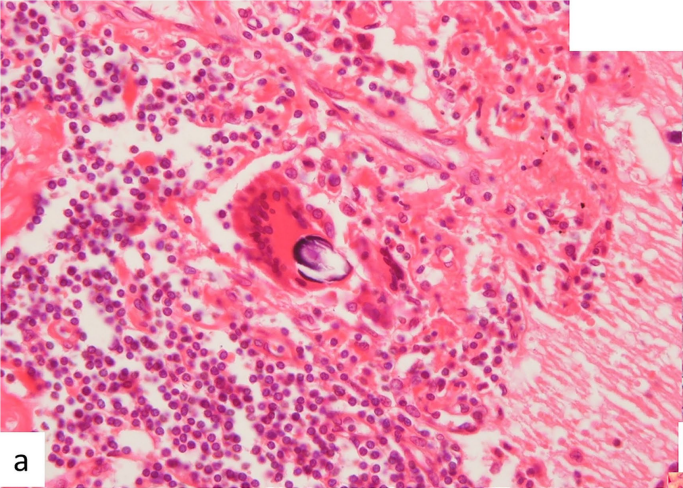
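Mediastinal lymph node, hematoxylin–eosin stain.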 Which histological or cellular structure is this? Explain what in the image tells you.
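A dark purple, layered, rounded concretion lies in the centre. It sits inside a large, deep pink cell. Many small round lymphocytes surround it.
Hence: Schaumann body.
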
